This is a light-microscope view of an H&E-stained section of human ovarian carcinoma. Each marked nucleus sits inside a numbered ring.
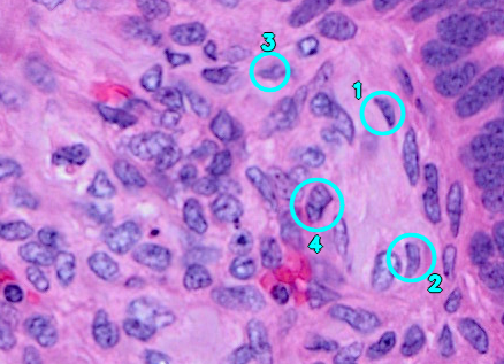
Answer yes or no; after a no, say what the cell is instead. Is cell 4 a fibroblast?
No, it is an endothelial cell.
